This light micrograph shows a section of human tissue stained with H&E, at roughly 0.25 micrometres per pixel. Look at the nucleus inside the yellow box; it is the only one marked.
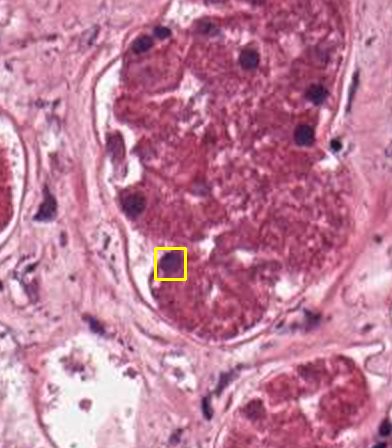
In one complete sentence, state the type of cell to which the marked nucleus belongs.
The marked nucleus is the nucleus of a proximal tubule cell.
